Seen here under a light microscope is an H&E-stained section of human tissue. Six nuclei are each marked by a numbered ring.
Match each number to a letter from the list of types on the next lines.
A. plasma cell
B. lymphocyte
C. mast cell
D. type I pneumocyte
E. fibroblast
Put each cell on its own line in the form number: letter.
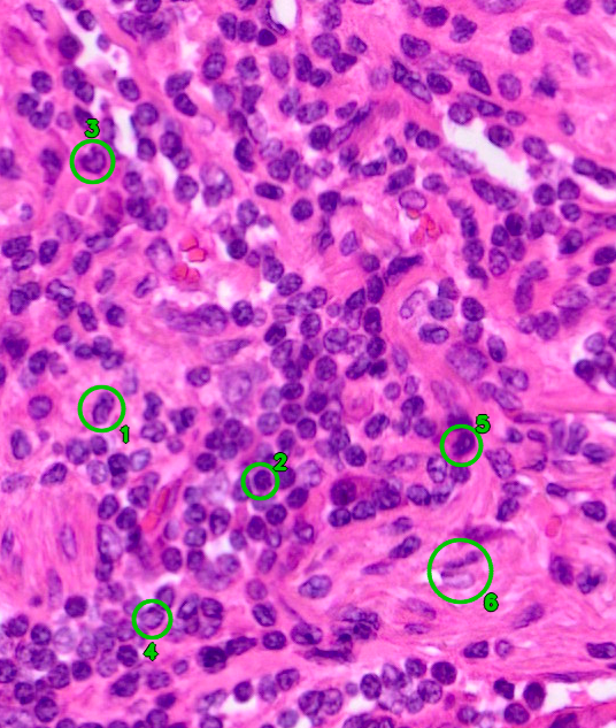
1: B
2: B
3: A
4: B
5: A
6: E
